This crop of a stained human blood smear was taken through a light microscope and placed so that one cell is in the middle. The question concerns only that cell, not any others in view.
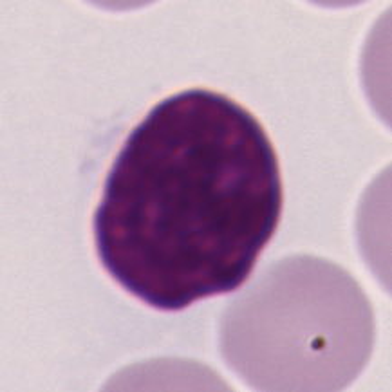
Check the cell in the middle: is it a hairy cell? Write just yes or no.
no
